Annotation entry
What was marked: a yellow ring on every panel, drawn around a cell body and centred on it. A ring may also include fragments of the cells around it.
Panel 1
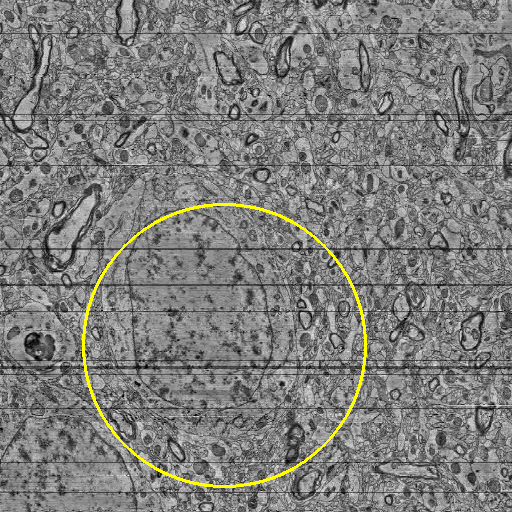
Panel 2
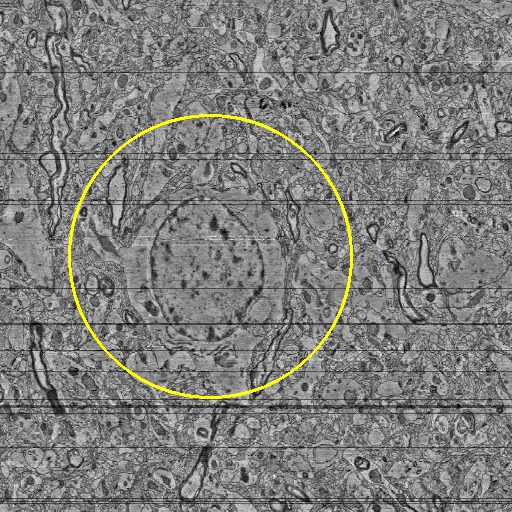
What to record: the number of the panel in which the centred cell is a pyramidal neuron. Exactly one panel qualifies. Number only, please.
1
